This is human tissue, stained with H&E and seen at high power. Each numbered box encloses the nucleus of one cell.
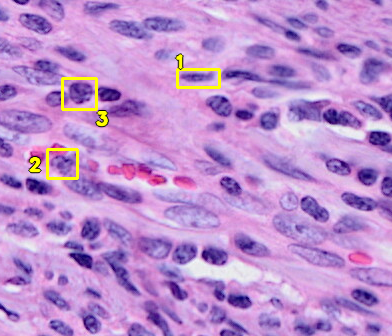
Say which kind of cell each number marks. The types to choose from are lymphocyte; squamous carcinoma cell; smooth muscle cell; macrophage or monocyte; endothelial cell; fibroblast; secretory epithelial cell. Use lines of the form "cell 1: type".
cell 1: fibroblast
cell 2: endothelial cell
cell 3: lymphocyte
